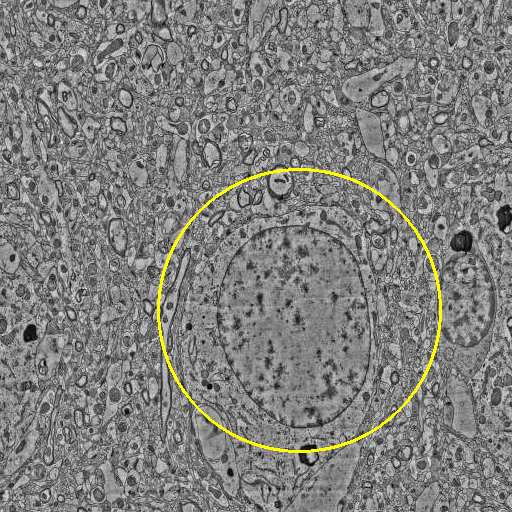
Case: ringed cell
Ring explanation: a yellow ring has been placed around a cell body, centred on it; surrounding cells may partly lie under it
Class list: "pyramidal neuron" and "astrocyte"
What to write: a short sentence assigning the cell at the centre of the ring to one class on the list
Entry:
The cell at the ring's centre is a pyramidal neuron.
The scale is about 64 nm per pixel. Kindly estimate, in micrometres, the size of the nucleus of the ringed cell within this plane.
The nucleus has a long axis of about 13 micrometres and a short axis of about 10 micrometres in this plane.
